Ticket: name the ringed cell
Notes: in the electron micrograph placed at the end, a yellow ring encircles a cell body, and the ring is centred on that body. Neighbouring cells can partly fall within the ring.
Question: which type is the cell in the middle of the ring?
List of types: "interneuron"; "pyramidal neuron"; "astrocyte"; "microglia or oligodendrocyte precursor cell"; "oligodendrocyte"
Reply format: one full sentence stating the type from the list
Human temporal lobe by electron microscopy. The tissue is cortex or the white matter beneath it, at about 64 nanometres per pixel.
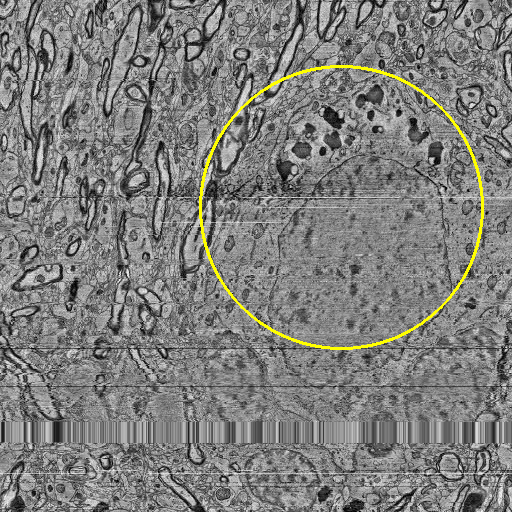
The cell sitting at the centre of the yellow ring is a pyramidal neuron.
